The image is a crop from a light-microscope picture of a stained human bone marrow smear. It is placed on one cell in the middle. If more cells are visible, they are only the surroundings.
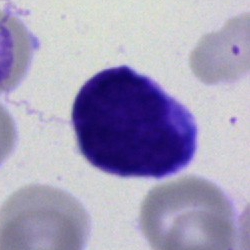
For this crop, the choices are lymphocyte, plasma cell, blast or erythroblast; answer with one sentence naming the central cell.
Looking at the middle of the crop, the cell there is a blast.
